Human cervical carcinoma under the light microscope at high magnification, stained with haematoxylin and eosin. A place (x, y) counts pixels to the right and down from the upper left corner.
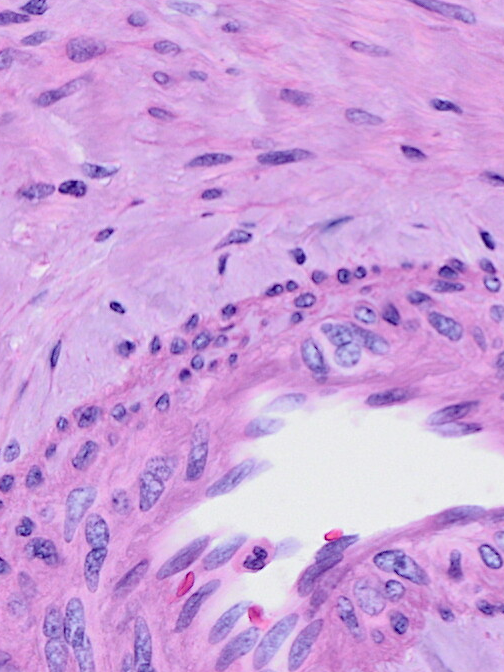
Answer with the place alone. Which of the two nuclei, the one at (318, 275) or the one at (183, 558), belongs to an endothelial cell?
(183, 558)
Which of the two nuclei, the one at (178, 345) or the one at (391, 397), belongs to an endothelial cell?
(391, 397)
